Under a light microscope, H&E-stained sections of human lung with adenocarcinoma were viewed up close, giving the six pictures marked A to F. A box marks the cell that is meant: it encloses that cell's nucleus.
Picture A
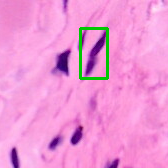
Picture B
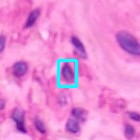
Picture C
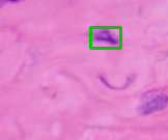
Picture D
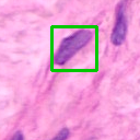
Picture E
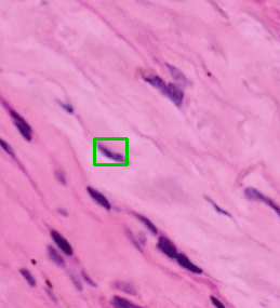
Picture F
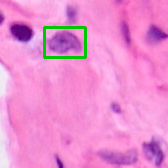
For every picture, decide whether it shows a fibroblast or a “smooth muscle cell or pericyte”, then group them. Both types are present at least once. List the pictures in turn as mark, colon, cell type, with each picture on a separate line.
A: fibroblast
B: smooth muscle cell or pericyte
C: fibroblast
D: smooth muscle cell or pericyte
E: fibroblast
F: fibroblast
